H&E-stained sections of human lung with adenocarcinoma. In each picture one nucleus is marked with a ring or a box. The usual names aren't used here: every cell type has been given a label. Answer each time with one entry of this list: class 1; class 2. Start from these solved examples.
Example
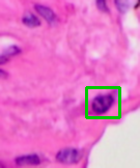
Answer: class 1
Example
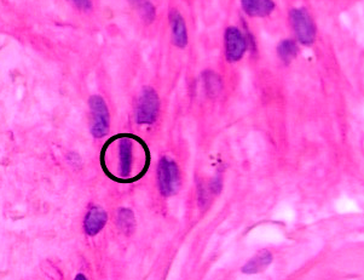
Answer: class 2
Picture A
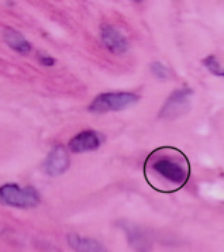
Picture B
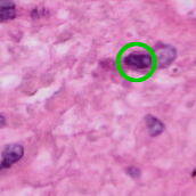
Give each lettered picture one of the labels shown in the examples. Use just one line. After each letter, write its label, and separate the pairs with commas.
A class 1, B class 1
